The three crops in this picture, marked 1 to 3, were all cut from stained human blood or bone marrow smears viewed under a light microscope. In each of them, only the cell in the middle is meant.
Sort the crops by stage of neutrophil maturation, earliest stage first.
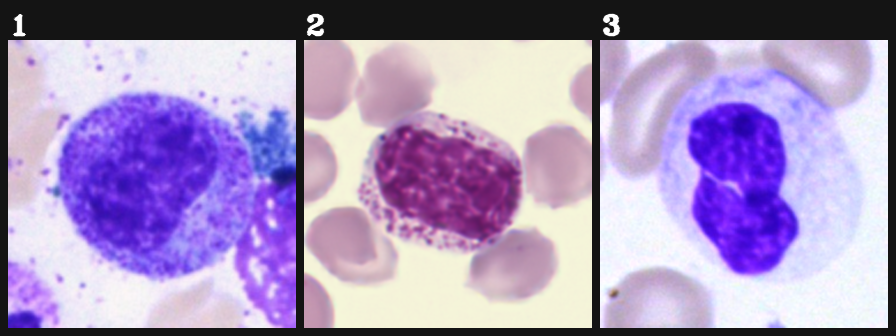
1, 2, 3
